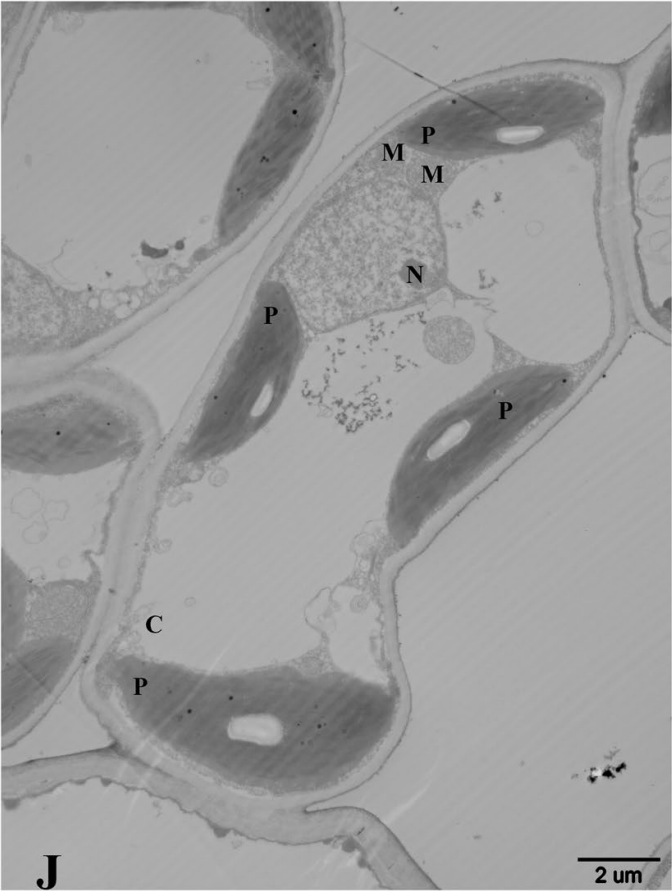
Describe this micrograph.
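These are plant cells with thick pale walls, each largely filled by a big empty-looking central vacuole that presses the cytoplasm into a thin layer along the wall. Several elongated, lens-shaped plastids lie against the walls, each dark grey with a pale oval inclusion inside. Near the top of the central cell a rounded nucleus with a finely granular interior and a small dark body sits in the thin cytoplasm, with small organelles beside it.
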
